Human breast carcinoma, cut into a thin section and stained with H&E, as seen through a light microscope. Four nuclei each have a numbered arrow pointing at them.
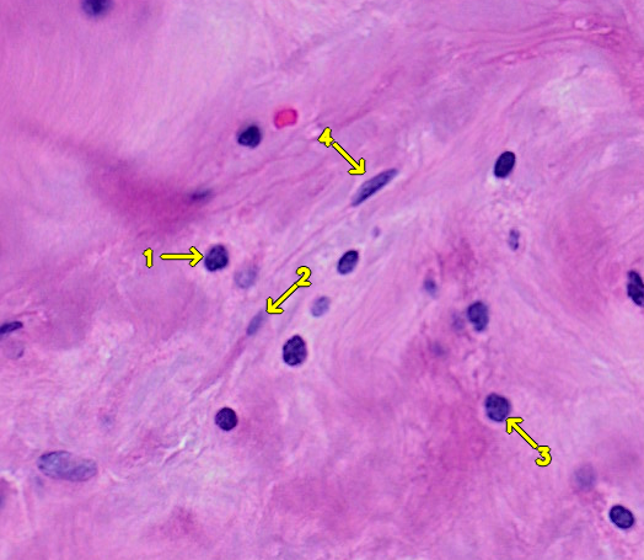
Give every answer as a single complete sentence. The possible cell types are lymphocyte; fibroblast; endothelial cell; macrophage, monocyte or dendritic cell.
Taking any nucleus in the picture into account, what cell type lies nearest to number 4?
The cell nearest to number 4 is a lymphocyte.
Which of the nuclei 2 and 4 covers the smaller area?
Nucleus 2 is the smaller one; nucleus 4 covers about 2 times its area.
